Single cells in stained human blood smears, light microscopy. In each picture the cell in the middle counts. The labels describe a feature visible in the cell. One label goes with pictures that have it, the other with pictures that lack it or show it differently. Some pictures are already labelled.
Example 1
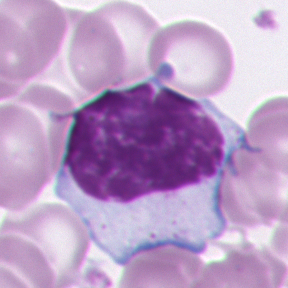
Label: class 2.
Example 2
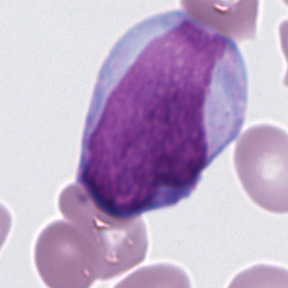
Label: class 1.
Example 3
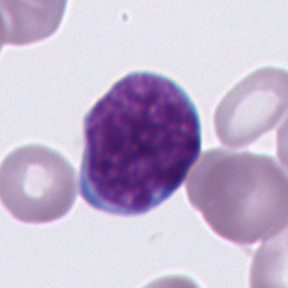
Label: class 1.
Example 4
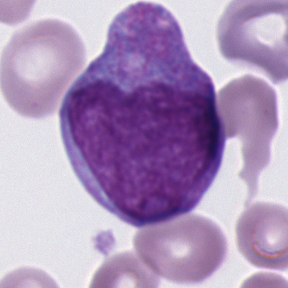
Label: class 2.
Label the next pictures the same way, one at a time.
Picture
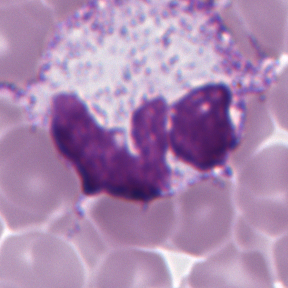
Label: class 2.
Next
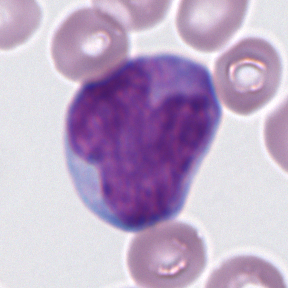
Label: class 1.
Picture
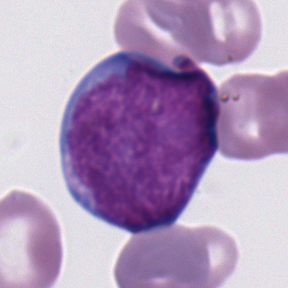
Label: class 1.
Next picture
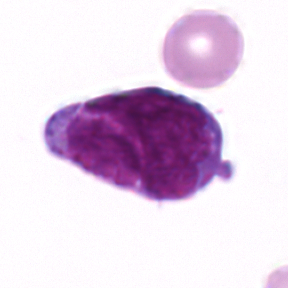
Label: class 2.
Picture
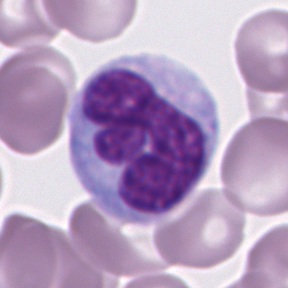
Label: class 1.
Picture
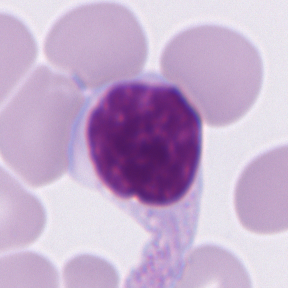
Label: class 2.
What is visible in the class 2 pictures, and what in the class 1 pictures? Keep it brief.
In class 2: ragged outline or projections. In class 1: smooth outline.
